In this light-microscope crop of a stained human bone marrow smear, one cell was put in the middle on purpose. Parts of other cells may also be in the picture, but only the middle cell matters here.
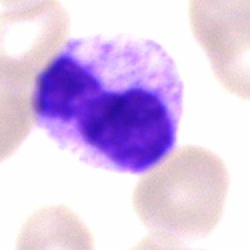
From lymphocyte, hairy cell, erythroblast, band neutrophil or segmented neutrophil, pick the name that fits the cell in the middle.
segmented neutrophil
